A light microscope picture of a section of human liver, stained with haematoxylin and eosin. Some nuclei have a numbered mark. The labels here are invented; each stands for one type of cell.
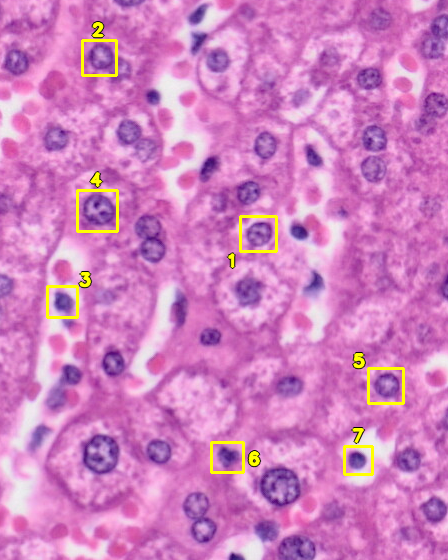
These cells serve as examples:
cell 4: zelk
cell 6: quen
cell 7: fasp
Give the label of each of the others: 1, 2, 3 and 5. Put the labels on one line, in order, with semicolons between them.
zelk; zelk; fasp; zelk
